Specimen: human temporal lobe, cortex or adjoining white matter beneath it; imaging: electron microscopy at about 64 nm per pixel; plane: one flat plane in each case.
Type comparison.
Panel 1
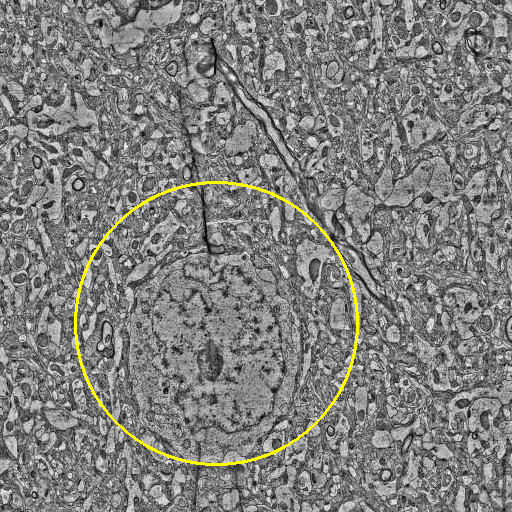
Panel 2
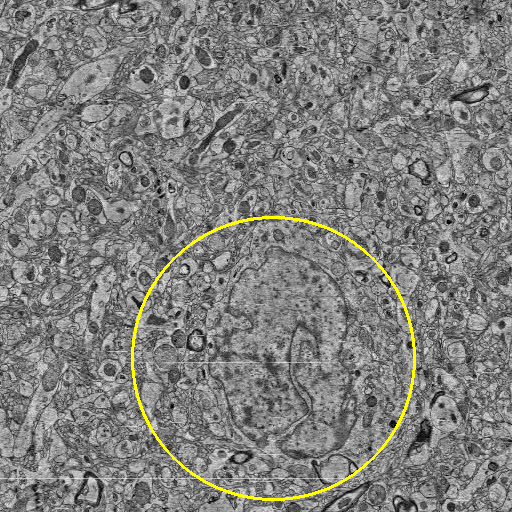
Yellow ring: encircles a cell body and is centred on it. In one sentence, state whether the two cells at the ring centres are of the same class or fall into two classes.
In these panels, the two cells at the ring centres are of the same class.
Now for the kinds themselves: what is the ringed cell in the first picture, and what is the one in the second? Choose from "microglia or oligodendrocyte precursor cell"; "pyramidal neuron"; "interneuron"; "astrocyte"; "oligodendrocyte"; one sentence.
In both pictures the ring is centred on an interneuron.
